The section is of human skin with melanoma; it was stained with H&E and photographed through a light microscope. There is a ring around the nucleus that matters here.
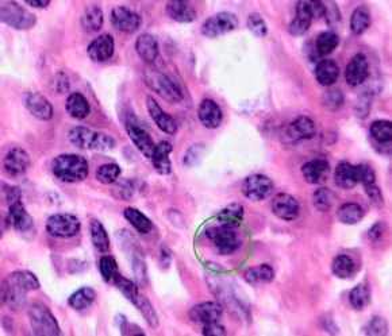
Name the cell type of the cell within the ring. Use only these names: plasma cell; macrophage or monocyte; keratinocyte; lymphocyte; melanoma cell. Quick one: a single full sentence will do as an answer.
As to its cell type, the cell within the ring is a plasma cell.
